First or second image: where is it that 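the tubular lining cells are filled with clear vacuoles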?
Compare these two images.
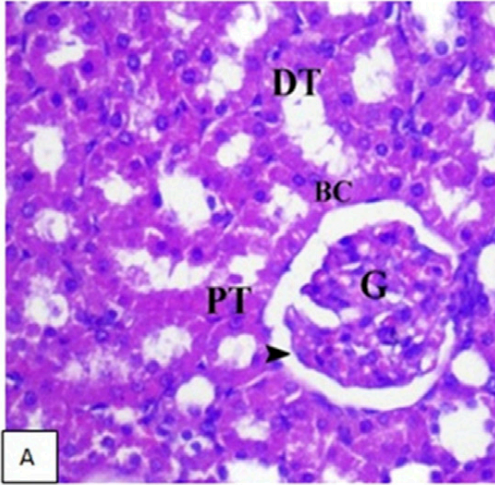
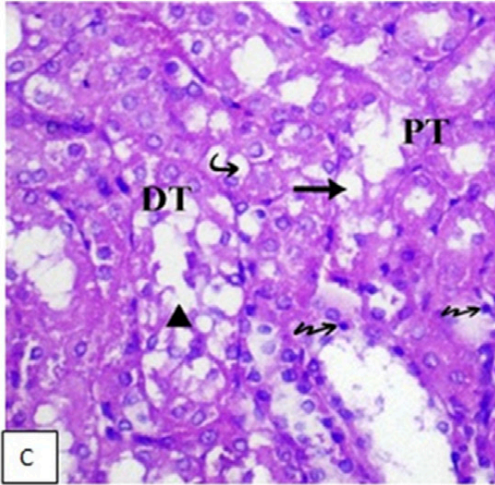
The second image.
